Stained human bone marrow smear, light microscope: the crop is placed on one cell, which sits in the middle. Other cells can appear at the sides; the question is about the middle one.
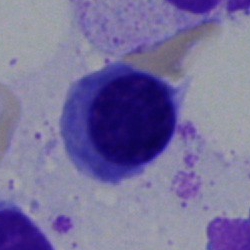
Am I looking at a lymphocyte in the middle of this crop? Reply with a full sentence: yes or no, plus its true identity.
No, the central cell is properly termed an erythroblast, not a lymphocyte.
